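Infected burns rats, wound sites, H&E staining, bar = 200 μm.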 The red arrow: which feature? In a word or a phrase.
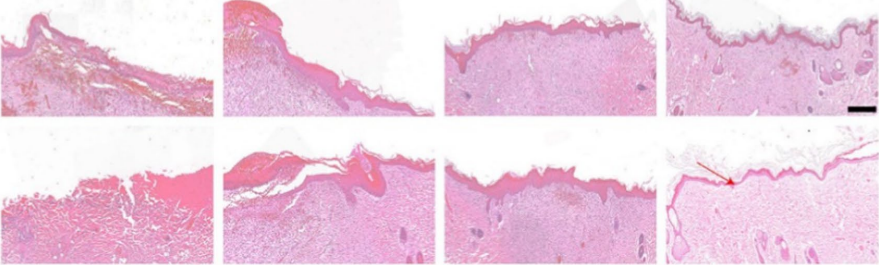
intact epidermis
